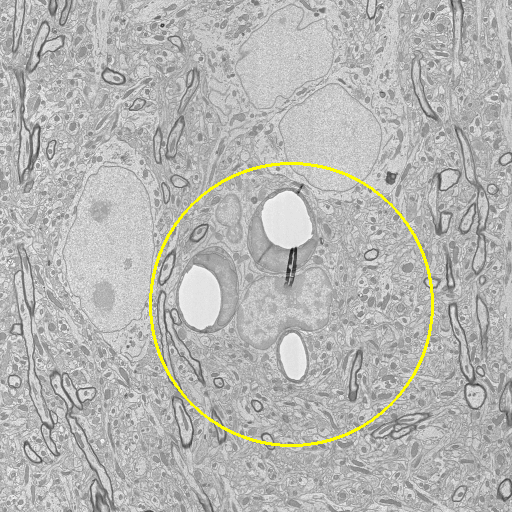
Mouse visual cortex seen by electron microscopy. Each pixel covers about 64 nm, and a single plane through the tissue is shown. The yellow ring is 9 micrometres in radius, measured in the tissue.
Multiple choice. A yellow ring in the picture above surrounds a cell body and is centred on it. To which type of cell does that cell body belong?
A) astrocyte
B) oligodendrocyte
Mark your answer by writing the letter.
B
